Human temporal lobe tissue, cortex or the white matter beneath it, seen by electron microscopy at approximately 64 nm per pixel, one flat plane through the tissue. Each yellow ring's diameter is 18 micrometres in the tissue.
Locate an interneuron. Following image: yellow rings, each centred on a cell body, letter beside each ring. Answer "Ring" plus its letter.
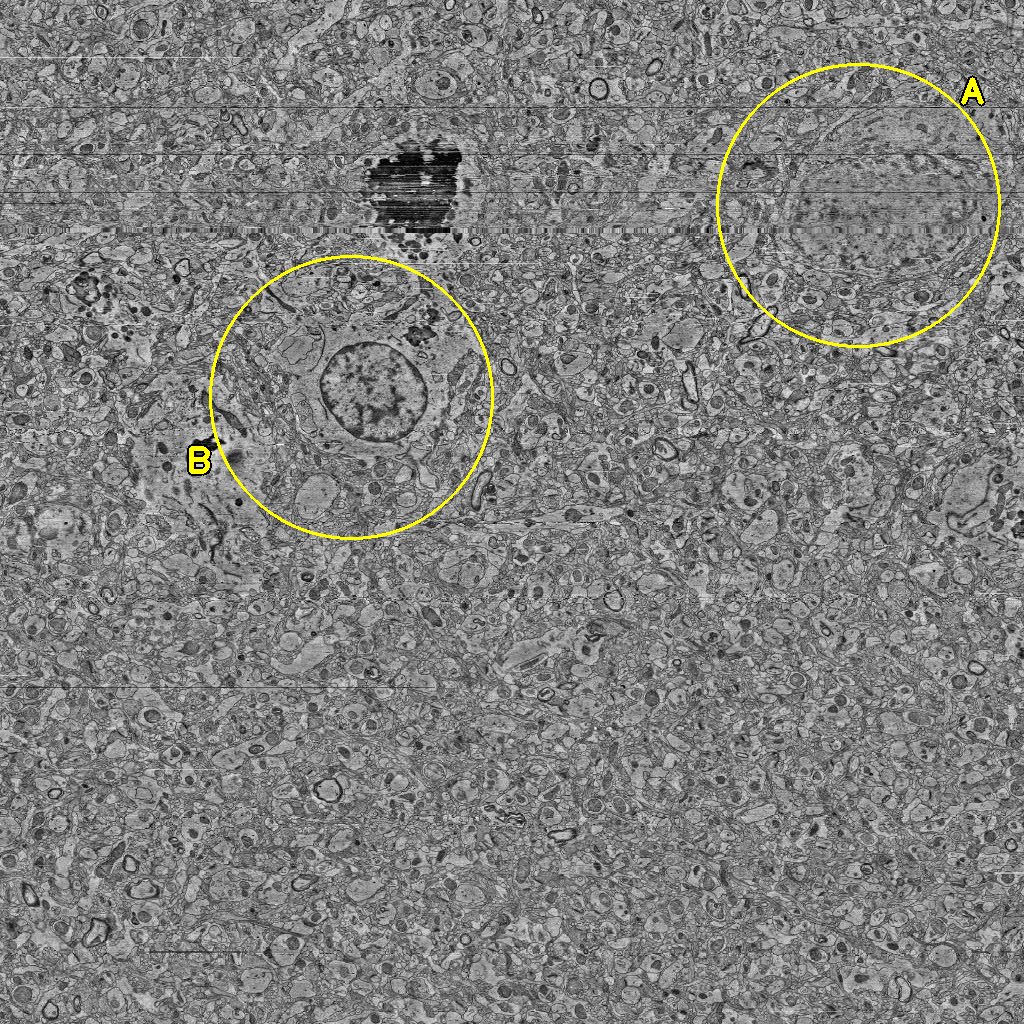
Ring A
